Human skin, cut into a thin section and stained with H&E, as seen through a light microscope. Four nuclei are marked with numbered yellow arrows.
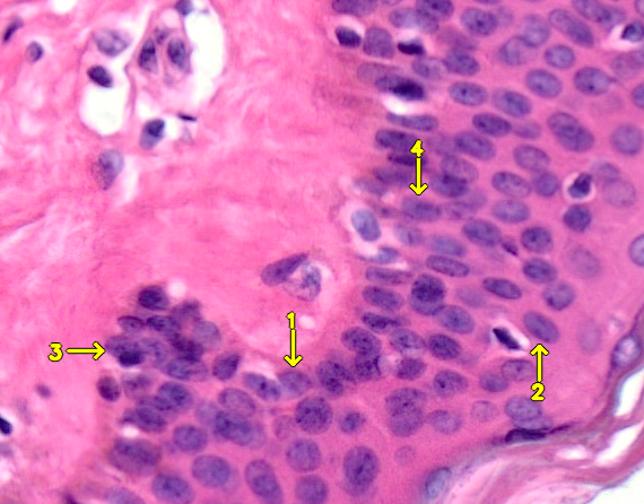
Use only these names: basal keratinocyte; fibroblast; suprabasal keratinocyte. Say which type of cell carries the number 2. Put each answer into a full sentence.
The marked nucleus 2 is that of a suprabasal keratinocyte.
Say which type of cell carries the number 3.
The cell bearing label 3 corresponds to a basal keratinocyte.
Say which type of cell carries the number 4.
The marked nucleus 4 is that of a basal keratinocyte.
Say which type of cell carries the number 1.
Looking at the numbered marks, cell 1 is a basal keratinocyte.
